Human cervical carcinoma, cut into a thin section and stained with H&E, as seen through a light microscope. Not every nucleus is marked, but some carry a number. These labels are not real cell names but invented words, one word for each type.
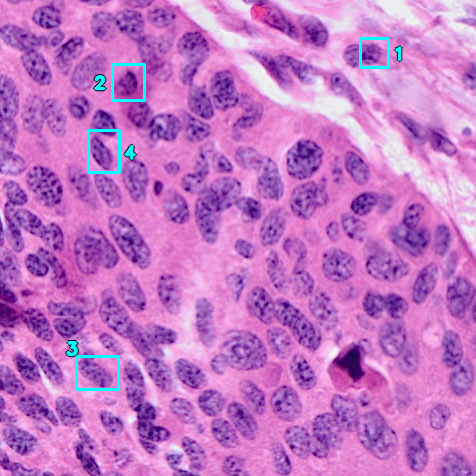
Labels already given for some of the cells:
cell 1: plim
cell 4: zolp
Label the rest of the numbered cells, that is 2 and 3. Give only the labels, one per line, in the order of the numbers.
zolp
zolp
